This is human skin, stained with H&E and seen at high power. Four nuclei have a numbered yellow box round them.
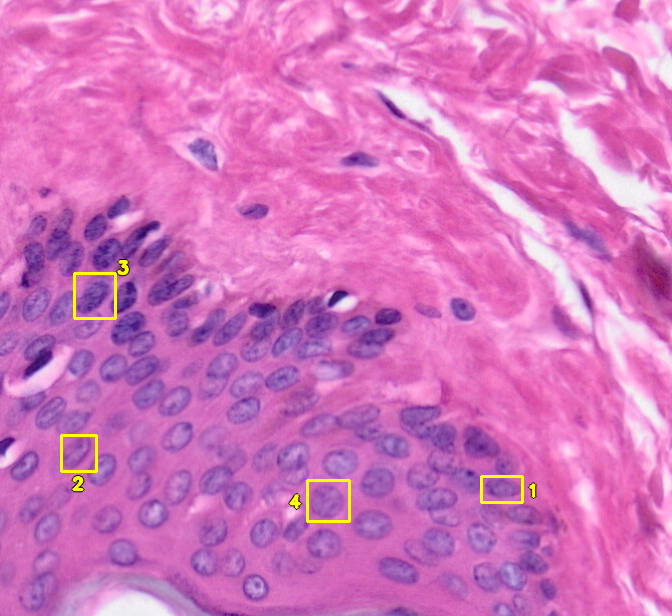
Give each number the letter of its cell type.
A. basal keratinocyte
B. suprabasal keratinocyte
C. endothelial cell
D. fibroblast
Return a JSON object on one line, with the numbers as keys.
{"1": "A", "2": "B", "3": "A", "4": "B"}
